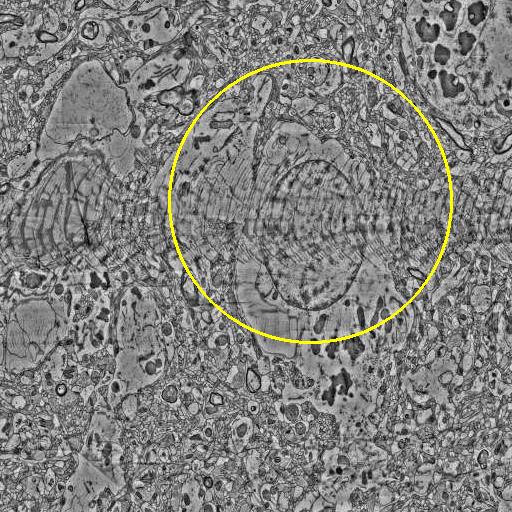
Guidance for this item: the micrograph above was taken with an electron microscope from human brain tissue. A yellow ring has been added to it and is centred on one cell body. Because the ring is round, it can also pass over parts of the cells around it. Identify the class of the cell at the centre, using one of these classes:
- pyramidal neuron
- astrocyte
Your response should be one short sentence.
The ring surrounds the body of an astrocyte.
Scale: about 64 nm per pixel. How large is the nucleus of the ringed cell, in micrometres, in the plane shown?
The nucleus comes to roughly 10 by 7 micrometres in this plane.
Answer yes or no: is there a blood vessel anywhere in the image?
Yes, the picture includes a blood vessel.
